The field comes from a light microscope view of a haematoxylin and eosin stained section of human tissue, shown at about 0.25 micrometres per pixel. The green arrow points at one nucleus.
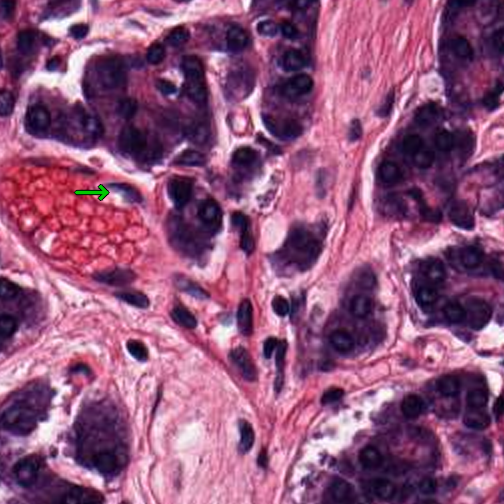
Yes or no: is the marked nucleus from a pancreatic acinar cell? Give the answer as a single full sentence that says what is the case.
No, the marked nucleus does not belong to a pancreatic acinar cell; it belongs to a supporting cell.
